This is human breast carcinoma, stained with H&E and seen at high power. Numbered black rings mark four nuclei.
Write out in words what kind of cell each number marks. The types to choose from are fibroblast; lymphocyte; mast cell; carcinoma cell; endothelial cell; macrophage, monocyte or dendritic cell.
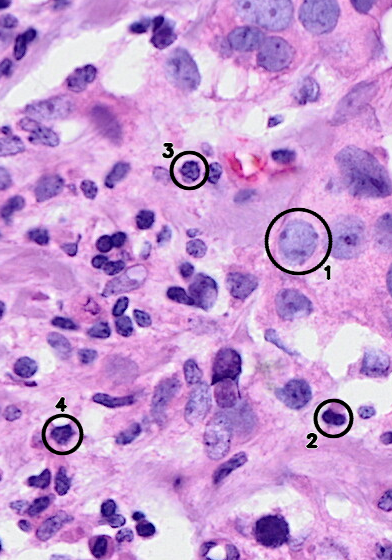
Cell 1 is a carcinoma cell. Cells 2, 3 and 4 are lymphocytes.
